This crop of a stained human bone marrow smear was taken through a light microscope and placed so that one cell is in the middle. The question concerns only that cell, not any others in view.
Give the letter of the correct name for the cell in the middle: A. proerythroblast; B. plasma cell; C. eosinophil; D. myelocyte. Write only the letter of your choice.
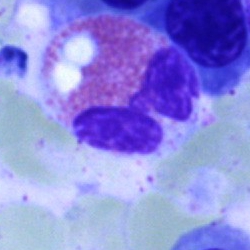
C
